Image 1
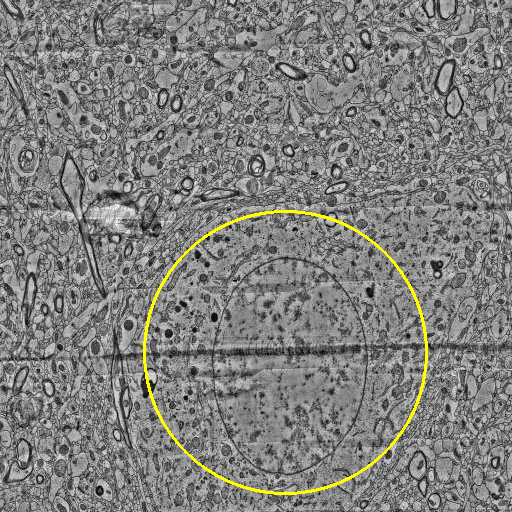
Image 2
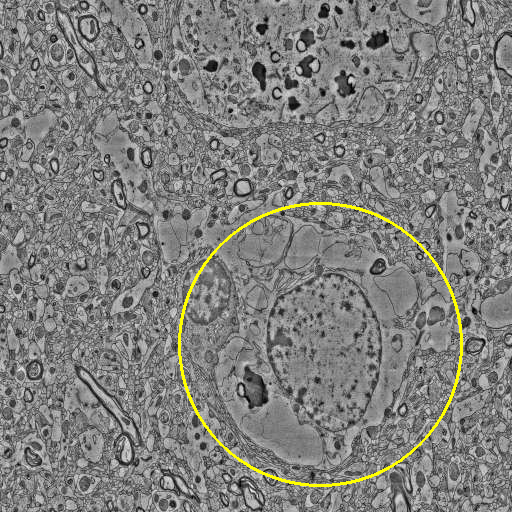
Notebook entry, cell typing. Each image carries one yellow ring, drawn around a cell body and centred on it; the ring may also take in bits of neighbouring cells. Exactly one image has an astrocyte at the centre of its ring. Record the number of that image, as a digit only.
2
